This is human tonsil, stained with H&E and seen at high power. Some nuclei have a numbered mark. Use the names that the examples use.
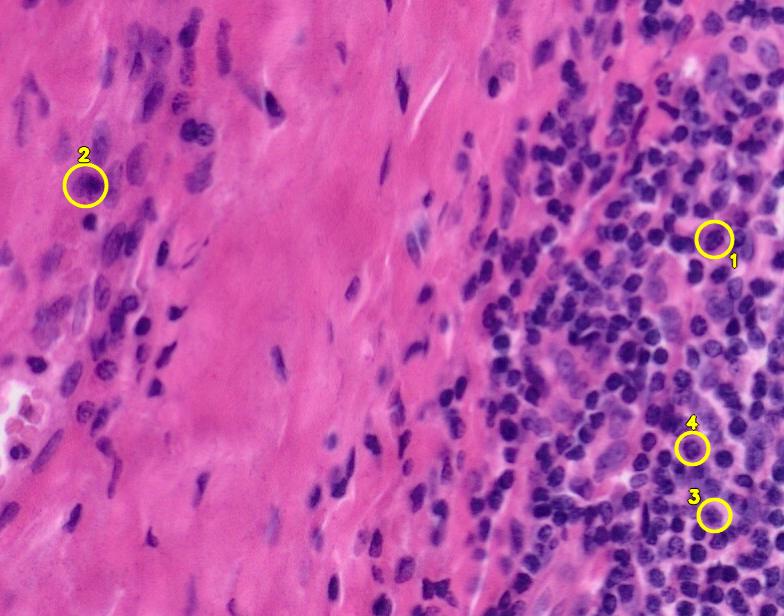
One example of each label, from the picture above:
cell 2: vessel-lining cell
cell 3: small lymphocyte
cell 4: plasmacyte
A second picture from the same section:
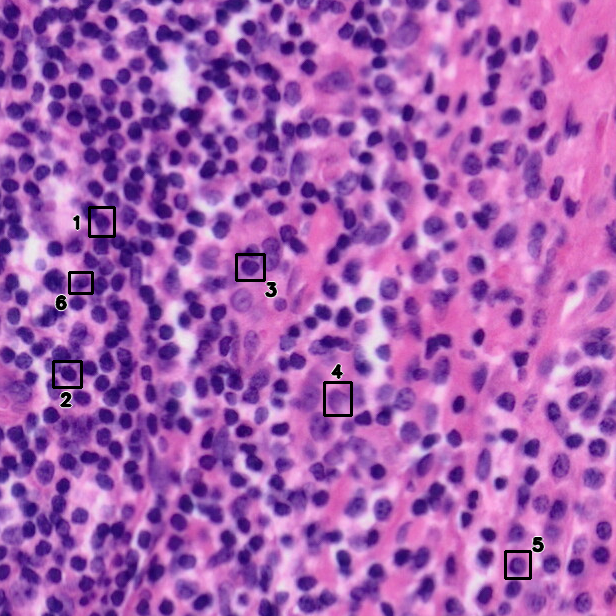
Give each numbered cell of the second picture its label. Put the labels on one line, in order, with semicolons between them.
small lymphocyte; small lymphocyte; vessel-lining cell; vessel-lining cell; plasmacyte; small lymphocyte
